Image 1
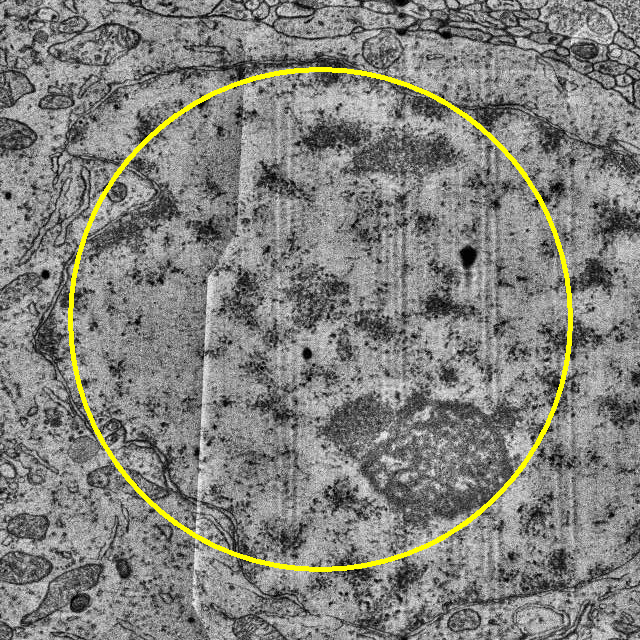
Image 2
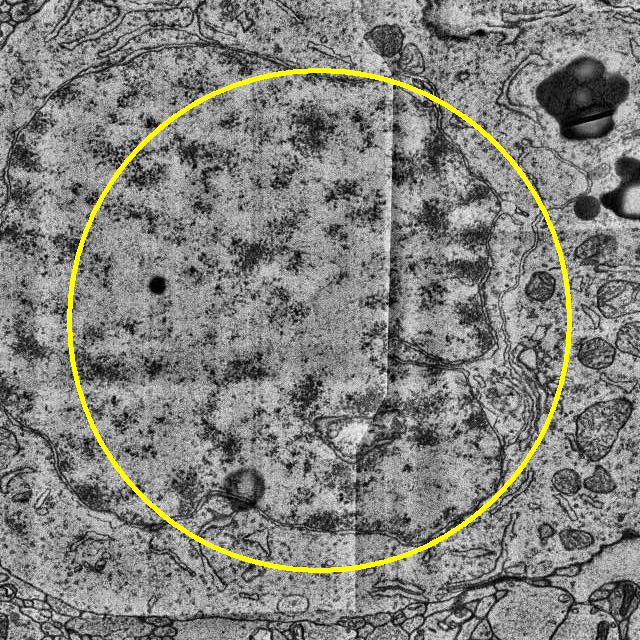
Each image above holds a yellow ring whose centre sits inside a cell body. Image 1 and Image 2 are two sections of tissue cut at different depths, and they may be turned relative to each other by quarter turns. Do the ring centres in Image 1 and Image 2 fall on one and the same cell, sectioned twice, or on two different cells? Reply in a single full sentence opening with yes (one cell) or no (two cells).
Yes, a single cell lies behind both yellow marks.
